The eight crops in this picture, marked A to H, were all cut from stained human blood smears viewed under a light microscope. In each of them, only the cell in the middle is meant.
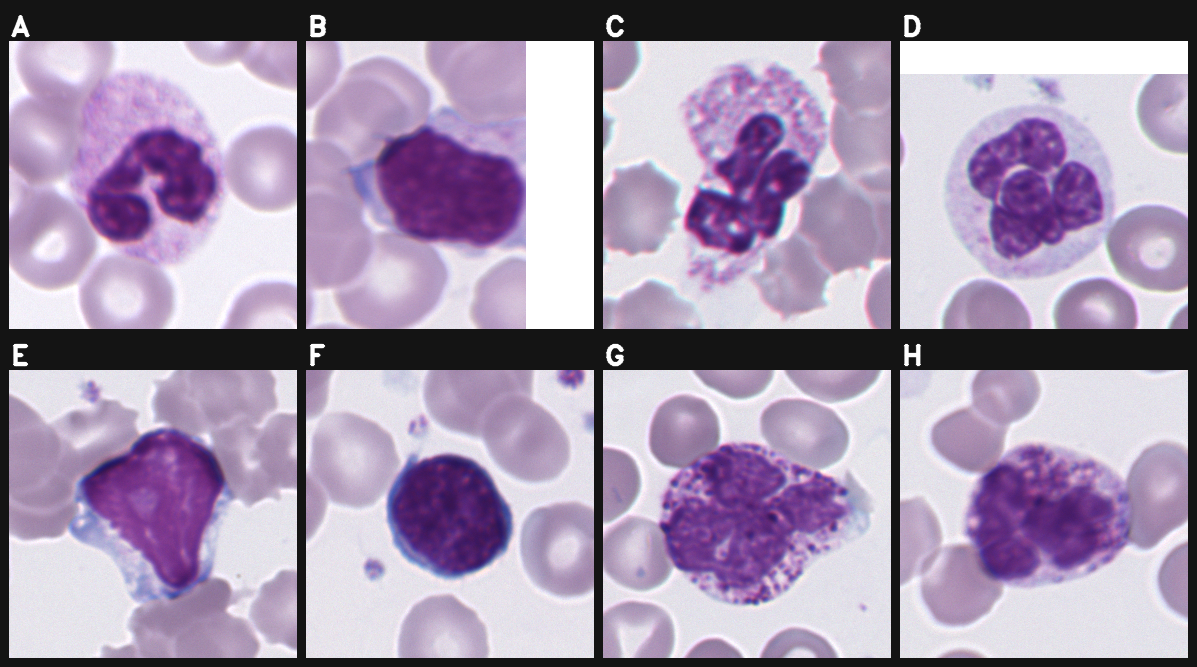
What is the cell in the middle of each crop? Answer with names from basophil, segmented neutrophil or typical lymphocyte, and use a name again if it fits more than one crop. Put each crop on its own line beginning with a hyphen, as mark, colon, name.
- A: segmented neutrophil
- B: typical lymphocyte
- C: segmented neutrophil
- D: segmented neutrophil
- E: typical lymphocyte
- F: typical lymphocyte
- G: basophil
- H: basophil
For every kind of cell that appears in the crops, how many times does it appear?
segmented neutrophil: 3
typical lymphocyte: 3
basophil: 2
